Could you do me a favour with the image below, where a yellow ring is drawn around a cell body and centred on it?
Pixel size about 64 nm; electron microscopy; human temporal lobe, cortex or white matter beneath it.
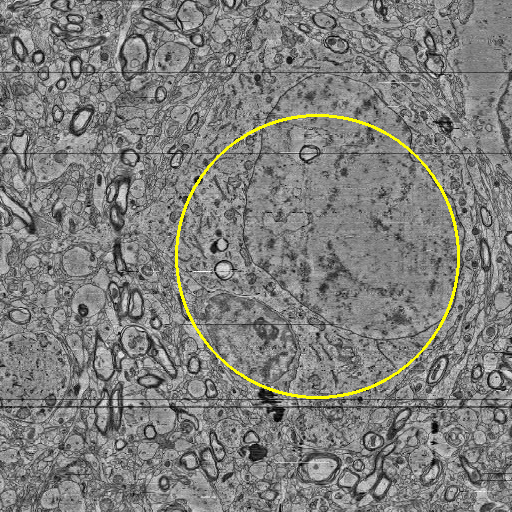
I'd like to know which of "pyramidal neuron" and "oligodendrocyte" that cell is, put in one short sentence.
The cell at the ring's centre is a pyramidal neuron.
